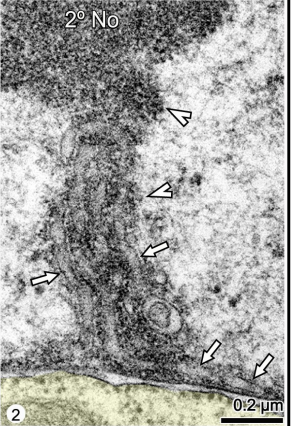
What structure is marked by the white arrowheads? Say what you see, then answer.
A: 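Fine granular material. The arrowheads point to a fuzzy, finely granular darker zone alongside the tubules. This material is continuous with the dense body at the top.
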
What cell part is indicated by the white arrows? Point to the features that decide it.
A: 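Nuclear tubules. Membrane-bounded tubular profiles run from the nuclear border at the bottom up toward a dense body at the top. The tubules are paired dark membrane lines inside the nucleoplasm.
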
